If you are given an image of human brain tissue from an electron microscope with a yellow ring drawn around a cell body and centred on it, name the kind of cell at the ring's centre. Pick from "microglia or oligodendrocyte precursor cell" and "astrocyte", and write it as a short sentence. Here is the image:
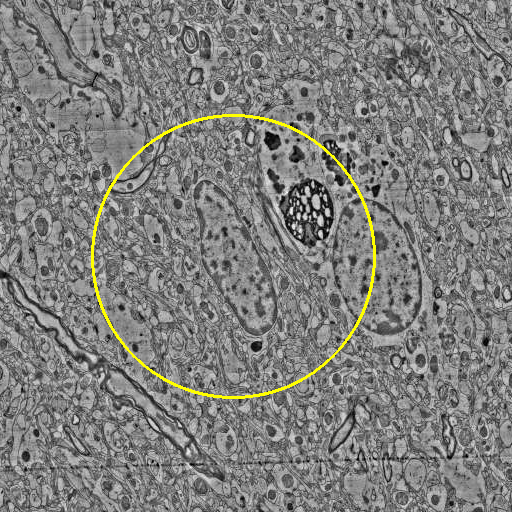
The cell at the ring's centre is a microglial cell or oligodendrocyte precursor cell.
